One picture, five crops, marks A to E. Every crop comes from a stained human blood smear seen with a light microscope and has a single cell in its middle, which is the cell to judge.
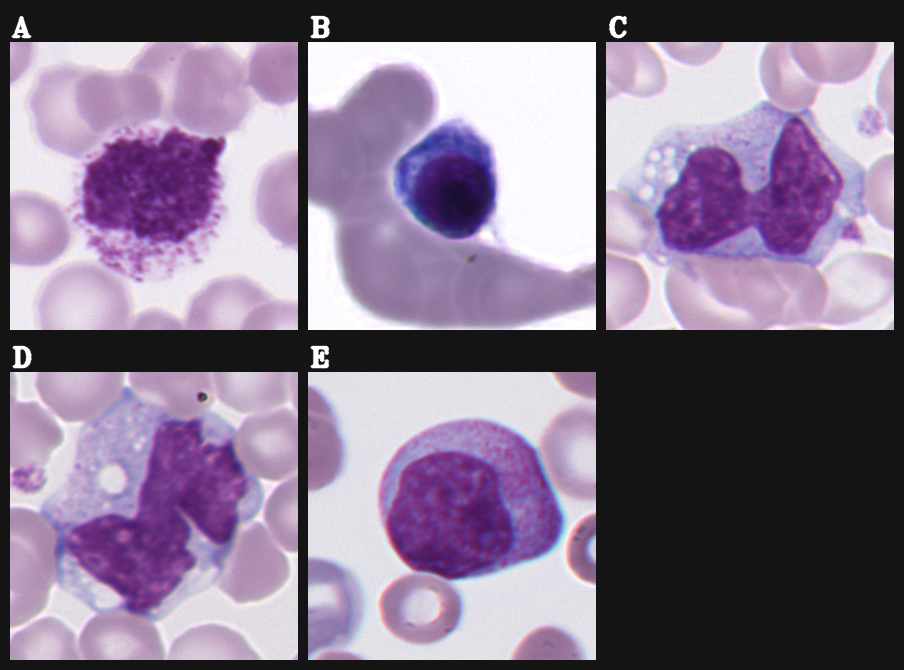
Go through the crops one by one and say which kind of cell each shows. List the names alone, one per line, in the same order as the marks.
band neutrophil
plasma cell
monocyte
monocyte
atypical promyelocyte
